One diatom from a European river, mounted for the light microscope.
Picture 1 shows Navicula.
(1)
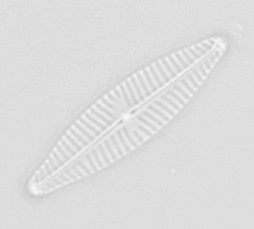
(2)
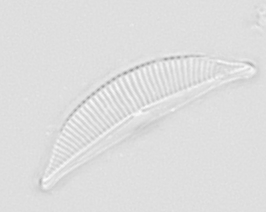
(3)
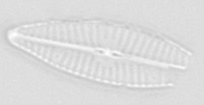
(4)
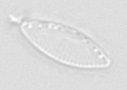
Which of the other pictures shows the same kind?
Picture 3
